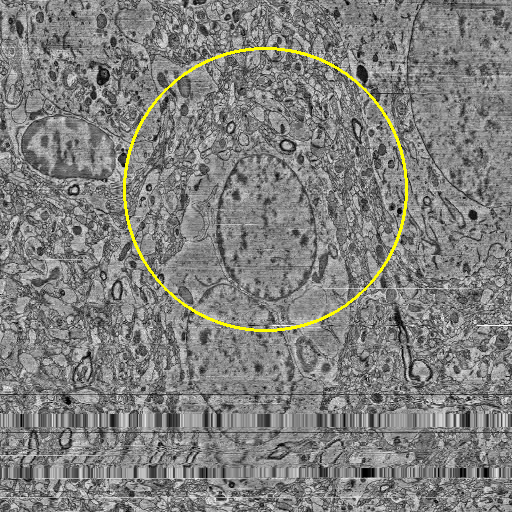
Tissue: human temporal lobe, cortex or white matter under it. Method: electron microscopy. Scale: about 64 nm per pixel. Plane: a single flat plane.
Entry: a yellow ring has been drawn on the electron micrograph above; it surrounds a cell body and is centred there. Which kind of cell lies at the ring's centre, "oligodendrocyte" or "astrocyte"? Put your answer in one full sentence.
The cell sitting at the ring's centre is an astrocyte in the micrograph above.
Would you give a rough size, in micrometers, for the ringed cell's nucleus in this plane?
About 10 by 6 micrometers in this plane, so the nucleus is clearly longer than it is wide.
